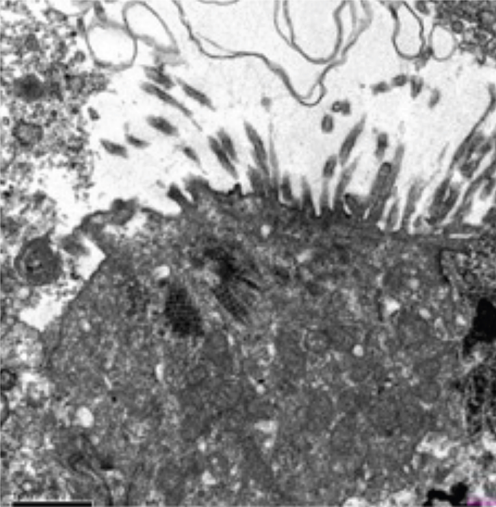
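Electron micrograph of an epithelial cell surface in which short, slender microvilli project from the apical border into a pale lumen, and no cilia are seen. Below the surface the cytoplasm is finely granular, and irregular very dark electron-dense material lies toward the right side. Membranous profiles and debris lie in the lumen above.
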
